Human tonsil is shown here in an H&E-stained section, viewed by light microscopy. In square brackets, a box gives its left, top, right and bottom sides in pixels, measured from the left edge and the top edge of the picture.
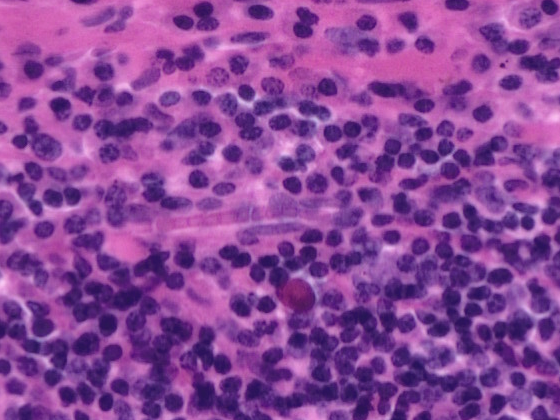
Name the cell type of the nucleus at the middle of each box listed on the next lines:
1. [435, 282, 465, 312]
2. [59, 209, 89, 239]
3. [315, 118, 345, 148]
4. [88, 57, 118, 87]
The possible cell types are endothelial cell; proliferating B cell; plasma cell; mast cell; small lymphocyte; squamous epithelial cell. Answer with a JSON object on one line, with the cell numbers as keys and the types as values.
{"1": "small lymphocyte", "2": "plasma cell", "3": "plasma cell", "4": "plasma cell"}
